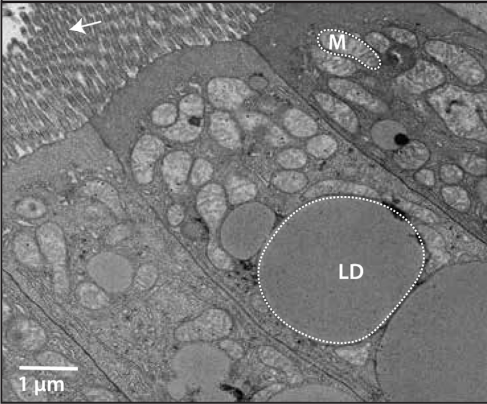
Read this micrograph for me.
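Apical region of intestinal enterocytes seen by transmission electron microscopy. At upper left the apical surface carries a dense, regular brush border of slender parallel microvilli. Beneath it the cytoplasm is crowded with oval and elongated mitochondria showing internal cristae, one outlined by a dotted line. Lower in the cell lies a very large round lipid droplet with homogeneous grey content and a smooth edge, bigger than the neighbouring mitochondria several times over; further droplets appear at the lower margin. Thin lateral cell membranes separate adjacent columnar cells, one of which has darker cytoplasm.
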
